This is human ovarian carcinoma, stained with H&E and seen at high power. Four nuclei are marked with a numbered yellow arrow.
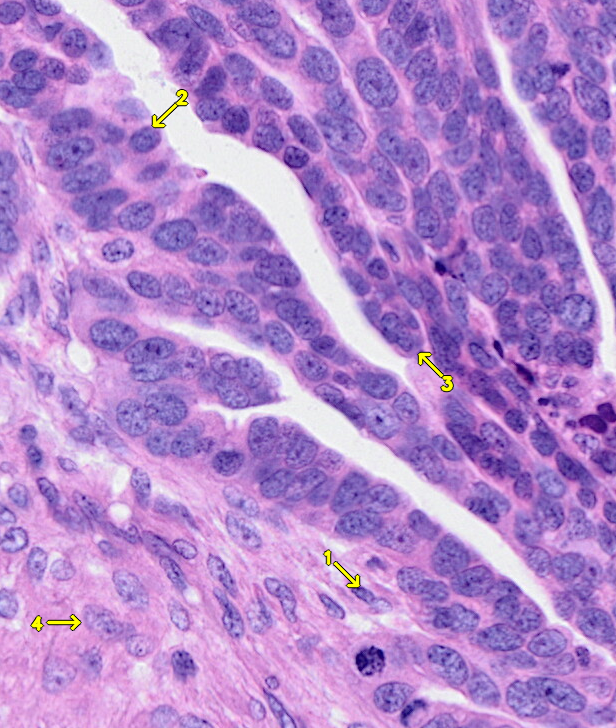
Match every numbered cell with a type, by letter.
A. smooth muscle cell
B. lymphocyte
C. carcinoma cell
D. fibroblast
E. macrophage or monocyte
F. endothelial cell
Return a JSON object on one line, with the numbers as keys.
{"1": "D", "2": "C", "3": "C", "4": "D"}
